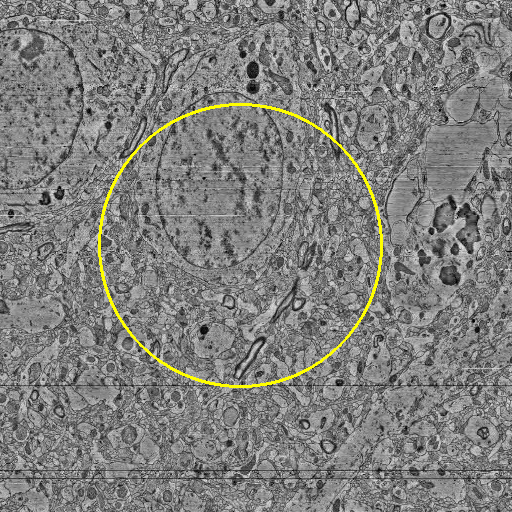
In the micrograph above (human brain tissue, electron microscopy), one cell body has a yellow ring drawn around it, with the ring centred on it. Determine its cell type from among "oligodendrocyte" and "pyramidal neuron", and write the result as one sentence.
The cell whose body is ringed is a pyramidal neuron.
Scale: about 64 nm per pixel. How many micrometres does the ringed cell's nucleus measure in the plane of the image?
Roughly 12 micrometres by 8 micrometres, in this plane.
